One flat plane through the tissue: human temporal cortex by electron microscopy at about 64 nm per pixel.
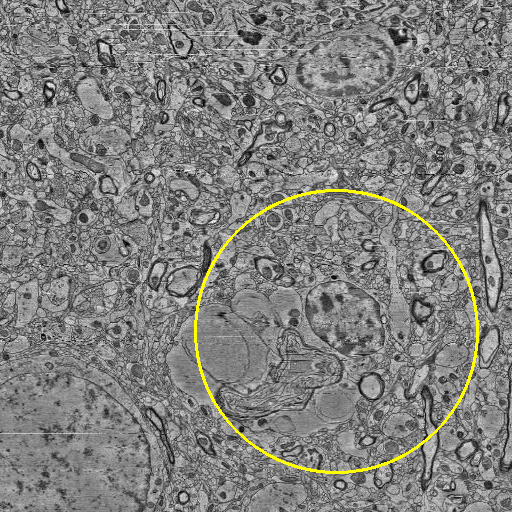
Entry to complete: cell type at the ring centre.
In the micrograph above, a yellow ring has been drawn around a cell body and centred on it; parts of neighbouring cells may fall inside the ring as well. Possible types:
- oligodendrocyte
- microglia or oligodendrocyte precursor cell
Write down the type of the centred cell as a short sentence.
The ring is centred on a microglial cell or oligodendrocyte precursor cell.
